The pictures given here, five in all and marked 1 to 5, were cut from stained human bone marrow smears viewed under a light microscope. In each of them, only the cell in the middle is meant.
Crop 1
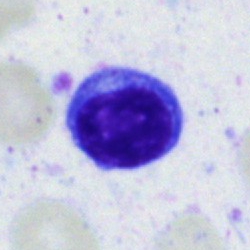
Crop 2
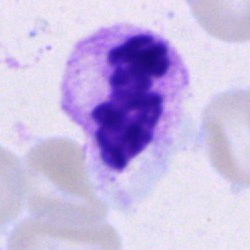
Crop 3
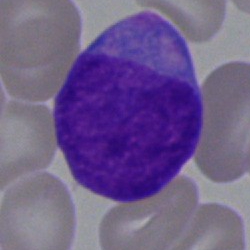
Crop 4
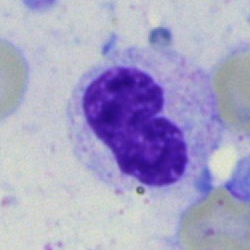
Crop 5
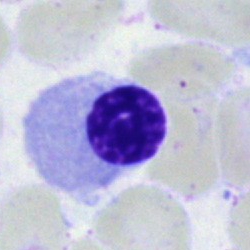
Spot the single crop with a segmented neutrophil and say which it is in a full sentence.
The one crop in the set with a segmented neutrophil is crop 2.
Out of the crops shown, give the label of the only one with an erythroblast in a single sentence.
The crop marked 5 is the one that shows an erythroblast.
